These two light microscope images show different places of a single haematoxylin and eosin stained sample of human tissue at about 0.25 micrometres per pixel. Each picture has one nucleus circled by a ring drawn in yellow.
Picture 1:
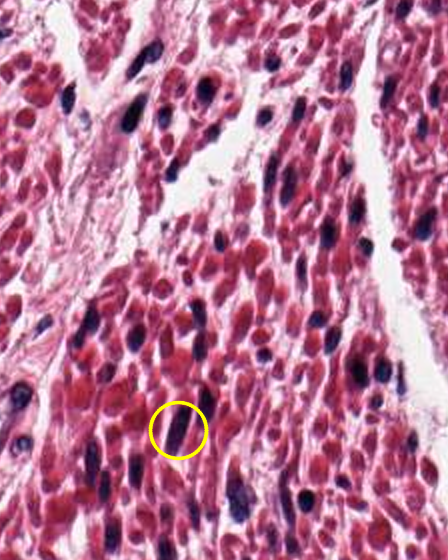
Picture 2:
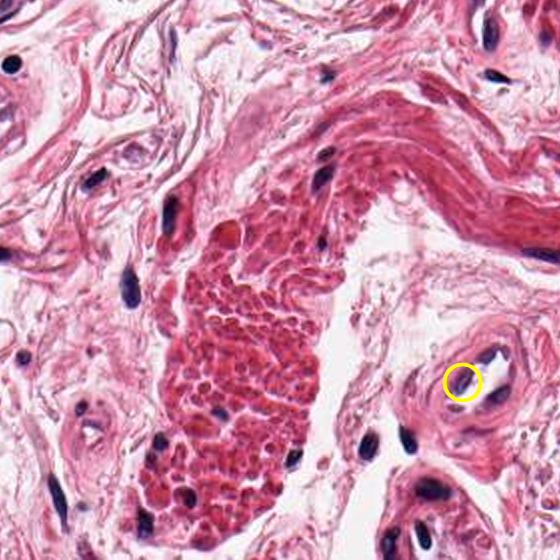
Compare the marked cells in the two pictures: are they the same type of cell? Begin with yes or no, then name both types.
No, the first is a smooth muscle cell and the second an endothelial cell.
